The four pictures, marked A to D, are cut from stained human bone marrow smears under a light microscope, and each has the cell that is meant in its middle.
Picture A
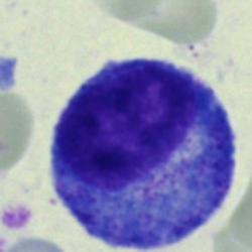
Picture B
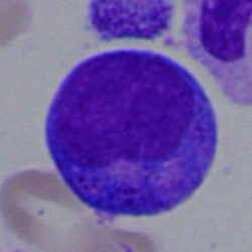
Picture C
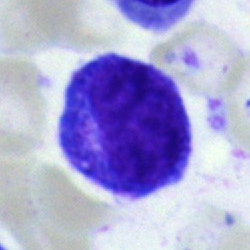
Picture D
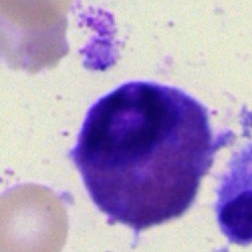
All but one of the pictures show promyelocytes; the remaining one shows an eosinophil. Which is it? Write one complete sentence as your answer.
The cell in picture D is the eosinophil.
